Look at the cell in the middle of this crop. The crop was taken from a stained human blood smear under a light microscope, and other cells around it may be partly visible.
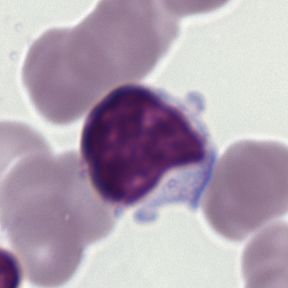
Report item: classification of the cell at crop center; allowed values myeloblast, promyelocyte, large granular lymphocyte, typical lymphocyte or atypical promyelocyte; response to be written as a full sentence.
In the middle of this smear crop, the cell is a large granular lymphocyte.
